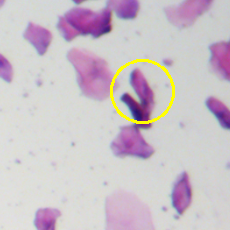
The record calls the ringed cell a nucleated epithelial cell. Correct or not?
Not correct; it is a cornified epithelial cell.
